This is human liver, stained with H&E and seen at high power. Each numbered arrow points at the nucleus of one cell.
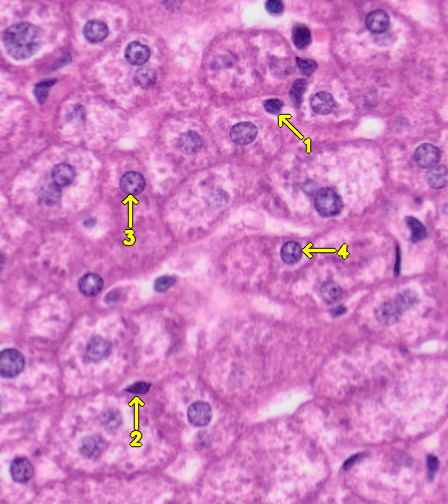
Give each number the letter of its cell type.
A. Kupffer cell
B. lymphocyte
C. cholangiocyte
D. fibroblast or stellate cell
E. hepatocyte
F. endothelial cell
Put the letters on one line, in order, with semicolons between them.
B; F; E; E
